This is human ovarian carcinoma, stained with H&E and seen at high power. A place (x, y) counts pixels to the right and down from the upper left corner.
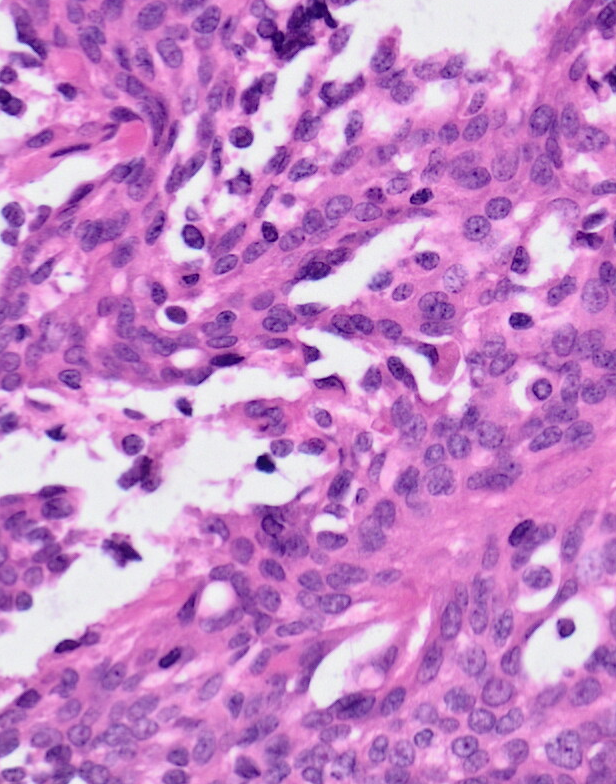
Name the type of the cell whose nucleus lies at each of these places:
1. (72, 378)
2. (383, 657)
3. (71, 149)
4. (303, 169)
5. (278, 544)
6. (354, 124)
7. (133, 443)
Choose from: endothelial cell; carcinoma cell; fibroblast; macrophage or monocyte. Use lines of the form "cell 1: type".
cell 1: macrophage or monocyte
cell 2: carcinoma cell
cell 3: fibroblast
cell 4: macrophage or monocyte
cell 5: carcinoma cell
cell 6: macrophage or monocyte
cell 7: macrophage or monocyte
